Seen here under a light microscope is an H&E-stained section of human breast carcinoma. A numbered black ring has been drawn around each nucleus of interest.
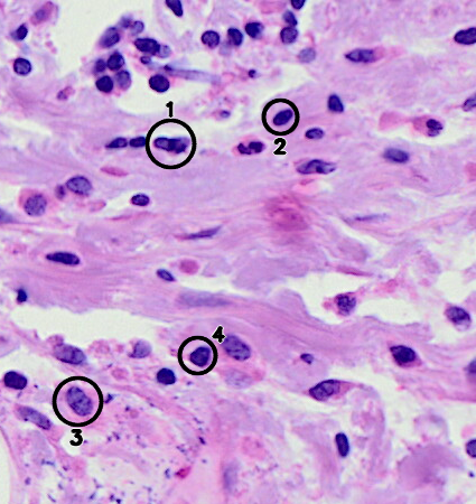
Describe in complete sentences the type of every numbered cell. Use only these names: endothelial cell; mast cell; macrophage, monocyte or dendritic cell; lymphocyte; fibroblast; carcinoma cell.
Cell 1 is a lymphocyte, cell 2 is a lymphocyte, cell 3 is a mast cell and cell 4 is a lymphocyte.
